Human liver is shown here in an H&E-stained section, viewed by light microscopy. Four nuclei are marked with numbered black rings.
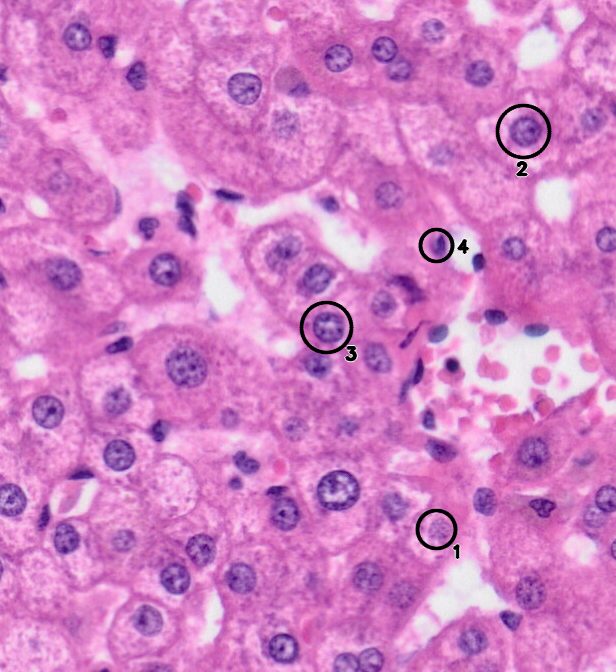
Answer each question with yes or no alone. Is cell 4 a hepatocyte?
no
